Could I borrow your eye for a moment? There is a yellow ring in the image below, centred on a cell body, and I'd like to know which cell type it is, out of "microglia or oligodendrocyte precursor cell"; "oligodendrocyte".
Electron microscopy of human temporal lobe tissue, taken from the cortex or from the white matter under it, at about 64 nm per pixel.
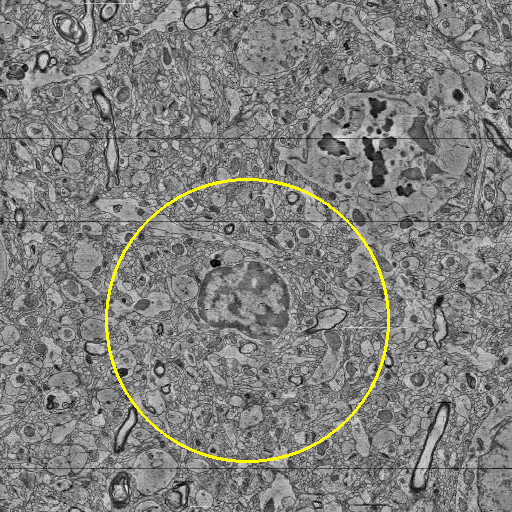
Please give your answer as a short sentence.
The cell body at the centre is that of a microglial cell or oligodendrocyte precursor cell.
